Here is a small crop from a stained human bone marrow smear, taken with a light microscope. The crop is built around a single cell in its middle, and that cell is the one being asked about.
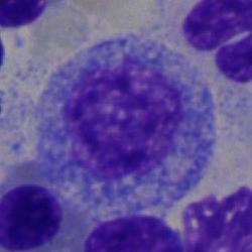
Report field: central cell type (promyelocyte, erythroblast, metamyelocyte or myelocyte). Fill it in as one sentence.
Regarding the central cell, it is a promyelocyte.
